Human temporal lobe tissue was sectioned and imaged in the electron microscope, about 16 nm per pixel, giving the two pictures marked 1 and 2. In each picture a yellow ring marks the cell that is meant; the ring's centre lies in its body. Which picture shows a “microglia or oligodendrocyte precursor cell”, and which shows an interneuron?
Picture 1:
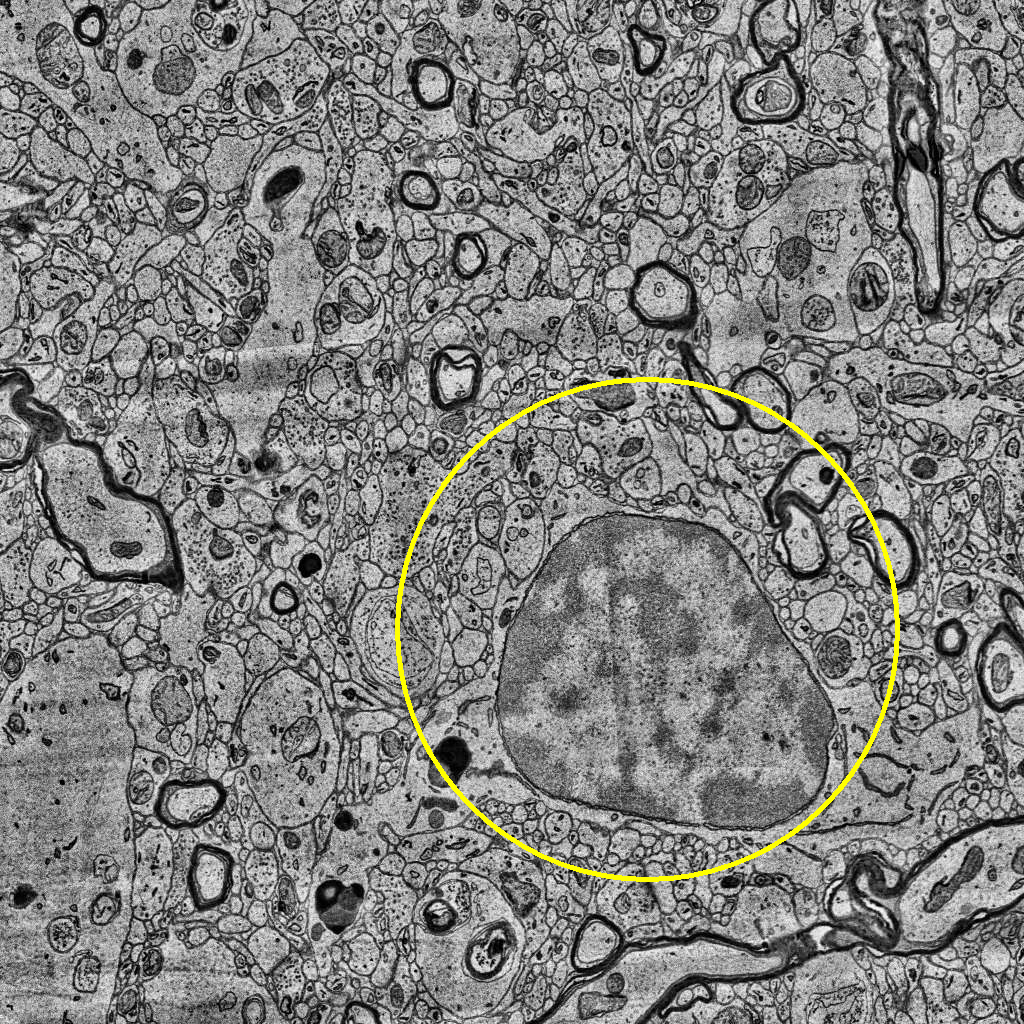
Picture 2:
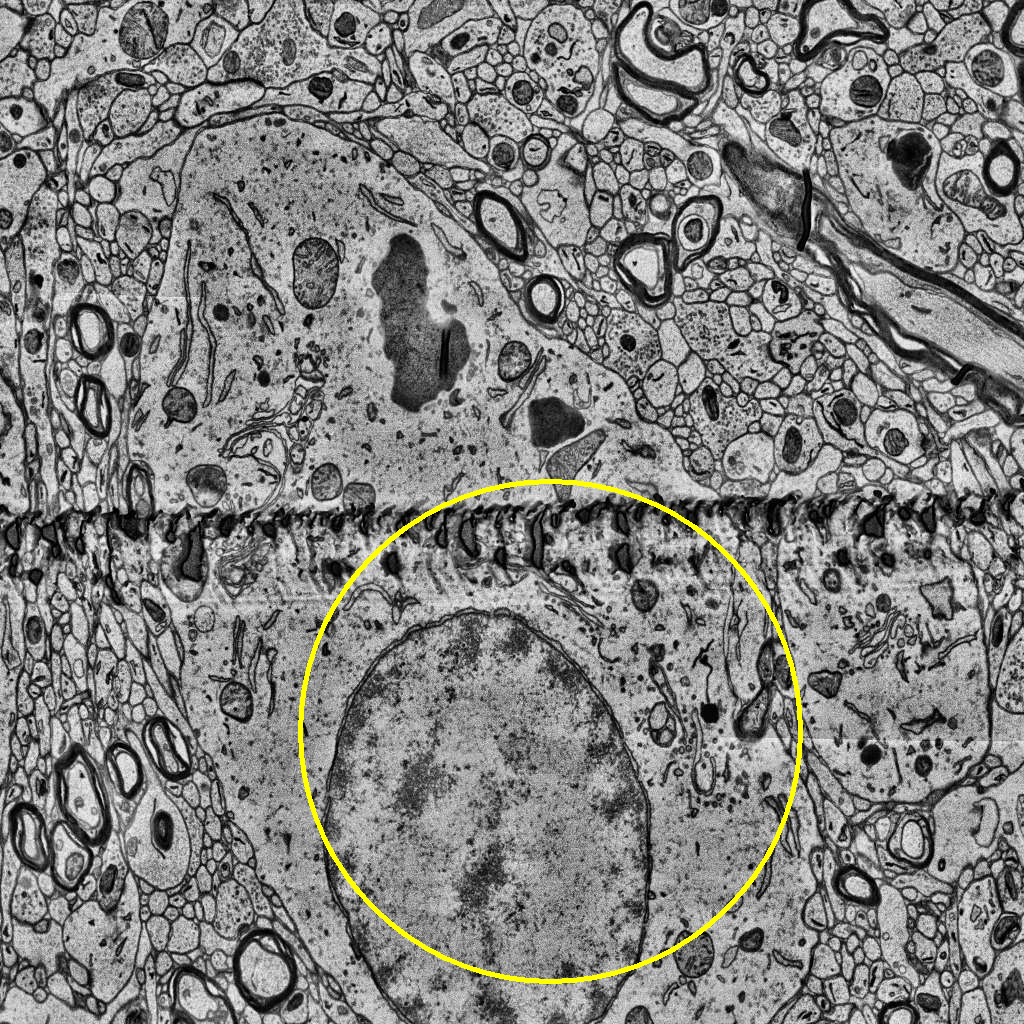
Picture 1 shows a “microglia or oligodendrocyte precursor cell” and picture 2 shows an interneuron.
